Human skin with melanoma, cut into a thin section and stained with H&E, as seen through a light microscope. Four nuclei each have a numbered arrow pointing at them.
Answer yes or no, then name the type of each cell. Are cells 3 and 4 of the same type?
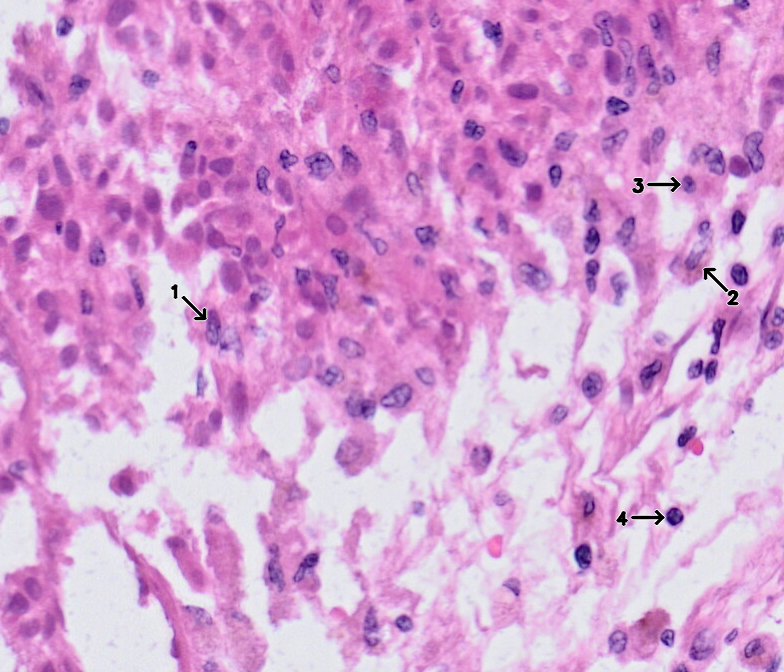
No, the correct reading has cell 3 as a macrophage or monocyte and cell 4 as a lymphocyte.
